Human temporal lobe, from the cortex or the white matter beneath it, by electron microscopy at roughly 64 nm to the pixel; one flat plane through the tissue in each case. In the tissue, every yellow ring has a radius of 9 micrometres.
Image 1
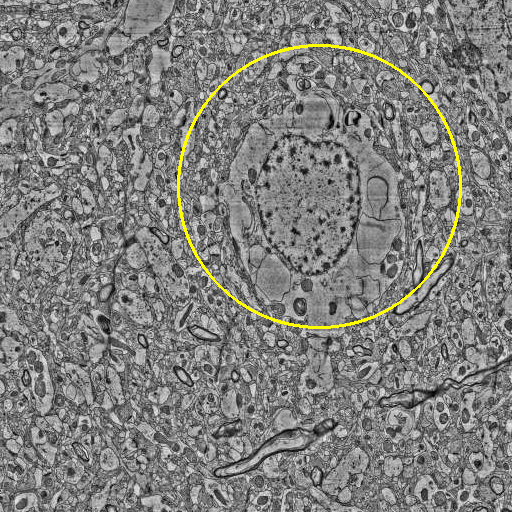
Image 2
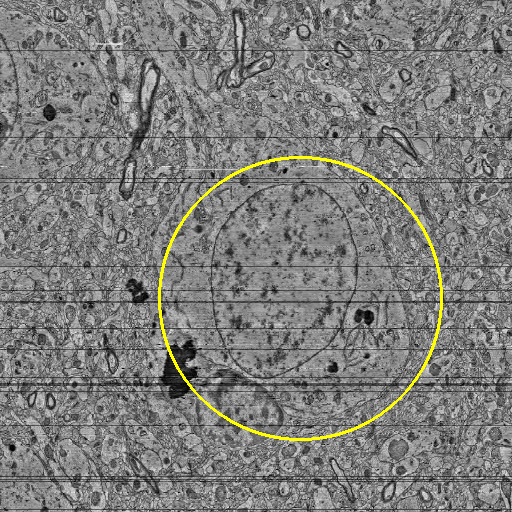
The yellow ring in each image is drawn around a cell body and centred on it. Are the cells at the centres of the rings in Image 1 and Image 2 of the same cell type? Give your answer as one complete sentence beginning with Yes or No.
No, the two cells are of two separate types.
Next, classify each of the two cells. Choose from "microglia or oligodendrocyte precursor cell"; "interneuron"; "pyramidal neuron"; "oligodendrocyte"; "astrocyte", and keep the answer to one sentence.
In the first picture it is an astrocyte; in the second it is a pyramidal neuron.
